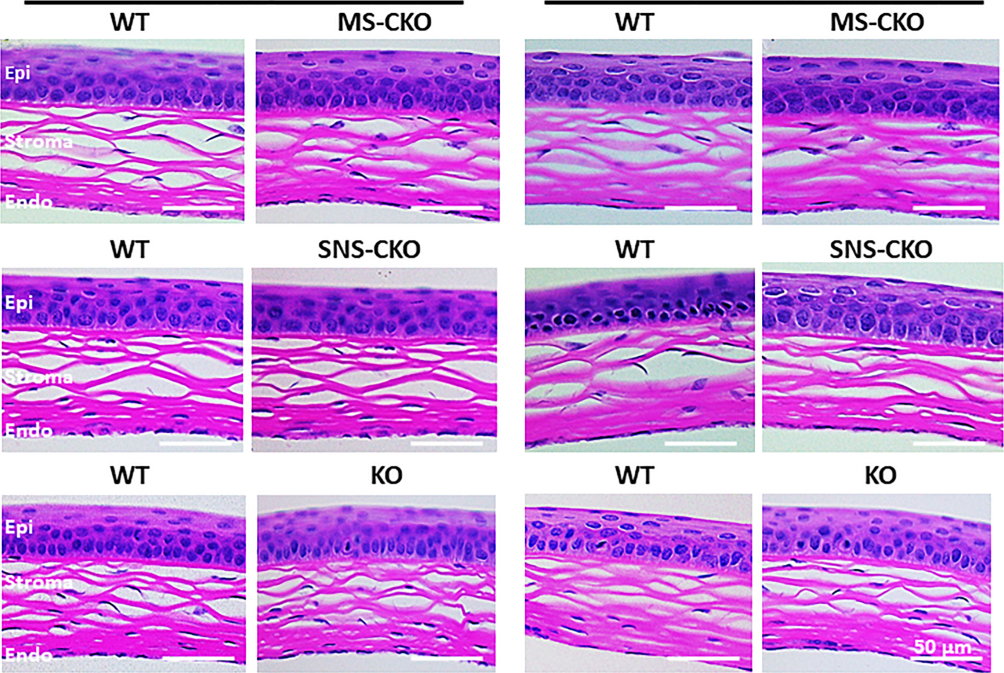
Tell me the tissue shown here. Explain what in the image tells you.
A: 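Corneas. A thin, curved, avascular sheet with a multilayered purple epithelium on top. A thick middle layer of regular pink lamellae with sparse flattened nuclei. A single thin layer of flat cells along the bottom surface.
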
